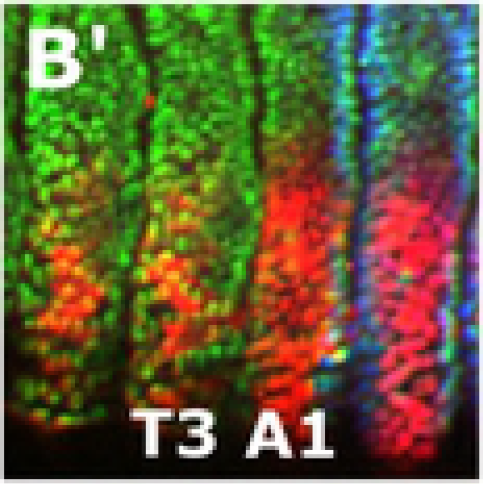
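A close view of the side of a fly embryo across several body segments, showing crowded small round nuclei of the surface cells. Green is bright in the anterior segments and weaker toward the posterior, where the red stripes dominate. Blue is confined to the posterior segments, brightest as thin lines running along the segment grooves, so the anterior and posterior parts of the field look clearly different in colour.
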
